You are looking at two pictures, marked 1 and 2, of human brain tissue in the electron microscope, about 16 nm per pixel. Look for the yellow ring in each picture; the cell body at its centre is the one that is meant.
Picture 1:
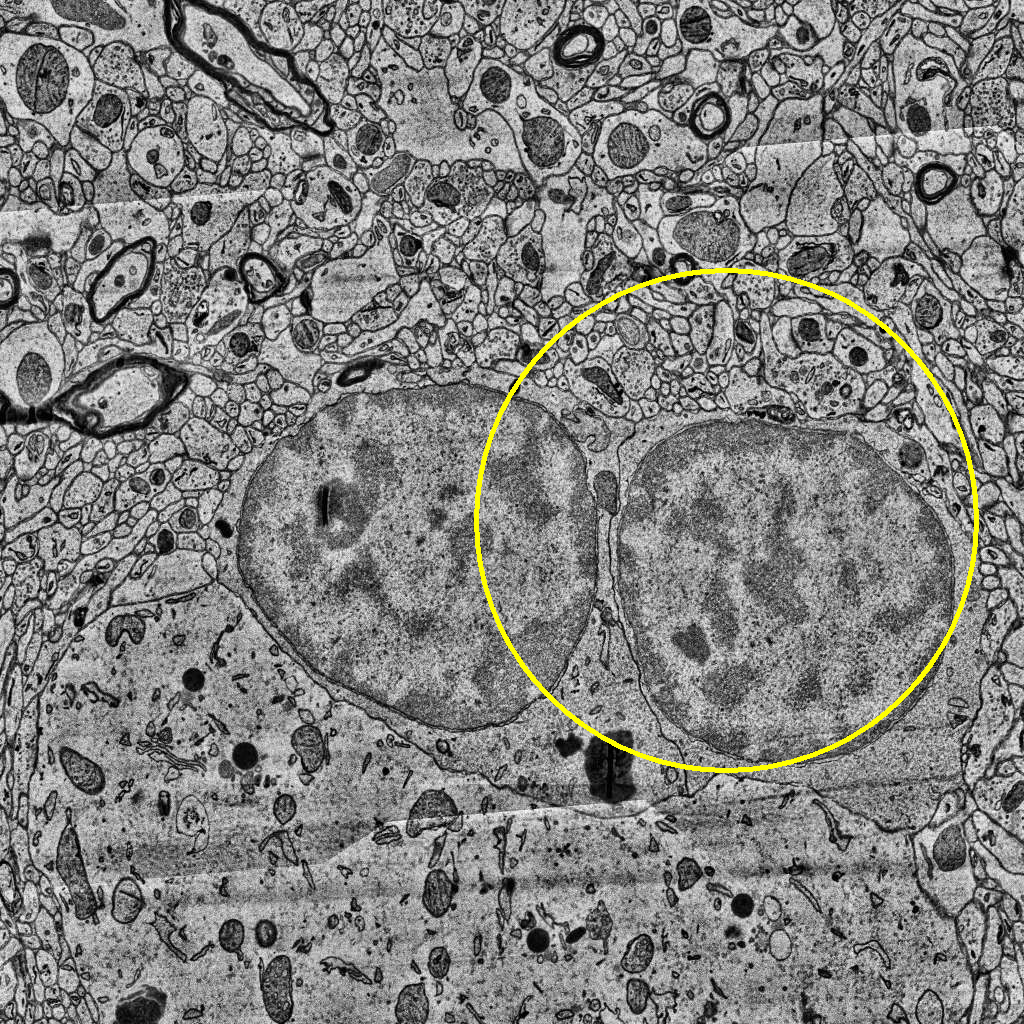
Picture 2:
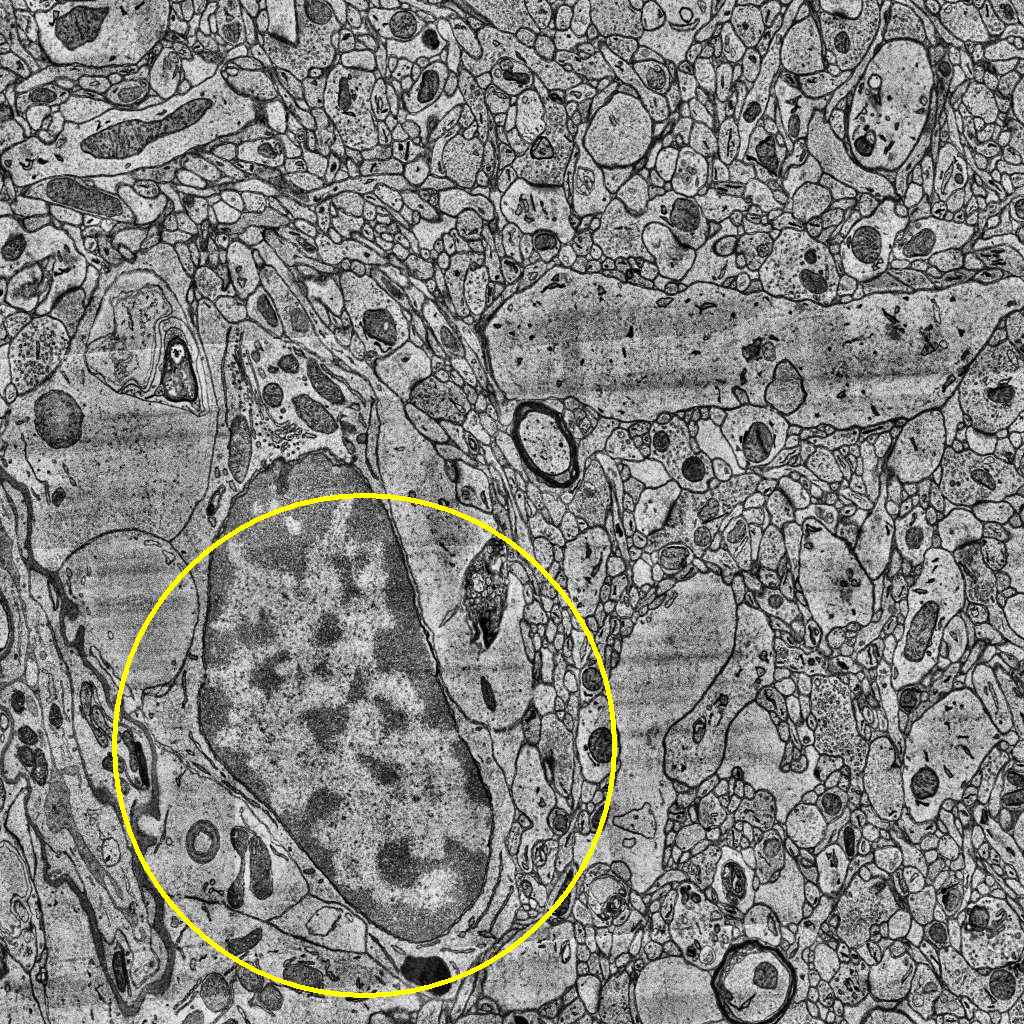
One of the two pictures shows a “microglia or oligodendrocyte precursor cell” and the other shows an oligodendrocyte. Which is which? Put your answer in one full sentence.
In picture 1 the cell is an oligodendrocyte; in picture 2, a “microglia or oligodendrocyte precursor cell”.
